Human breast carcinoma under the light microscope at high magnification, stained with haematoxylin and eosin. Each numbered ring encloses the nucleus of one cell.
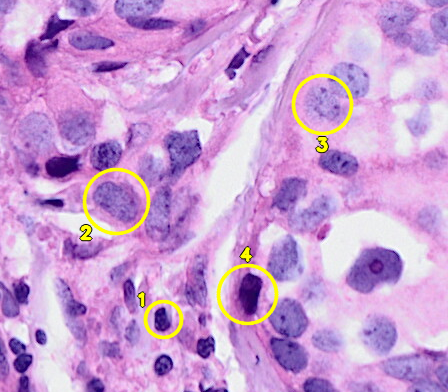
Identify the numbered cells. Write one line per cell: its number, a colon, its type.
1: lymphocyte
2: carcinoma cell
3: carcinoma cell
4: carcinoma cell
